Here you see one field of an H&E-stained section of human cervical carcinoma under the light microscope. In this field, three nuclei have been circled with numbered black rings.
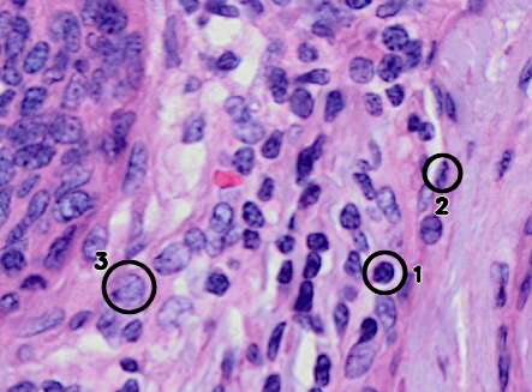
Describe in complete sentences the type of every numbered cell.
Cell 1 is a lymphocyte, cell 2 is an endothelial cell and cell 3 is an endothelial cell.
